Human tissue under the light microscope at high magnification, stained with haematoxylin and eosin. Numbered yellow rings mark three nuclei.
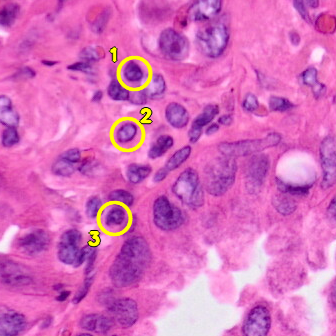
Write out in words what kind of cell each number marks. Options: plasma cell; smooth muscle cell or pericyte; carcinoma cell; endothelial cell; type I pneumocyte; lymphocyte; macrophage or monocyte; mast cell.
Cells 1 and 3 are lymphocytes. Cell 2 is a mast cell.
